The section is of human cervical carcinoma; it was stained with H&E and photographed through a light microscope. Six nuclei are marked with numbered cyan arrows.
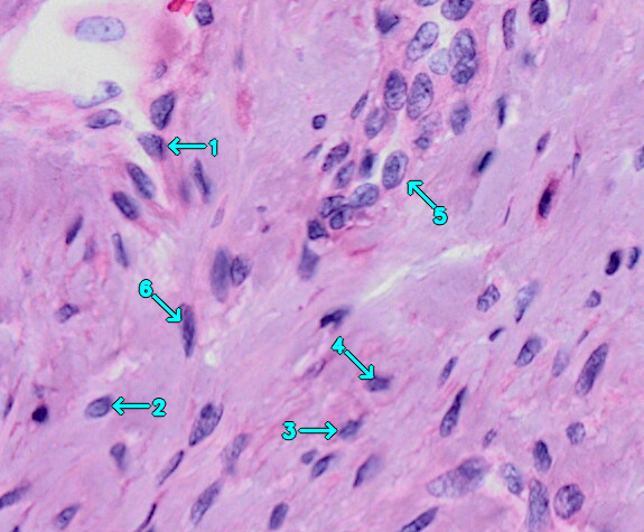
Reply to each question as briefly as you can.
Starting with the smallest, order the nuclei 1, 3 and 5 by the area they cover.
3, 1, 5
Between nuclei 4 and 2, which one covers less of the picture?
4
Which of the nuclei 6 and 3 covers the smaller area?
3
